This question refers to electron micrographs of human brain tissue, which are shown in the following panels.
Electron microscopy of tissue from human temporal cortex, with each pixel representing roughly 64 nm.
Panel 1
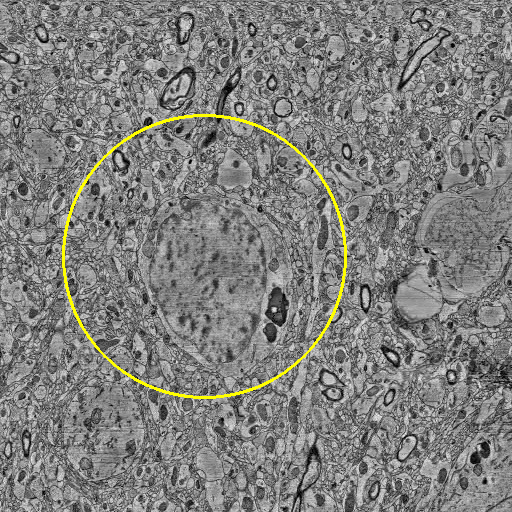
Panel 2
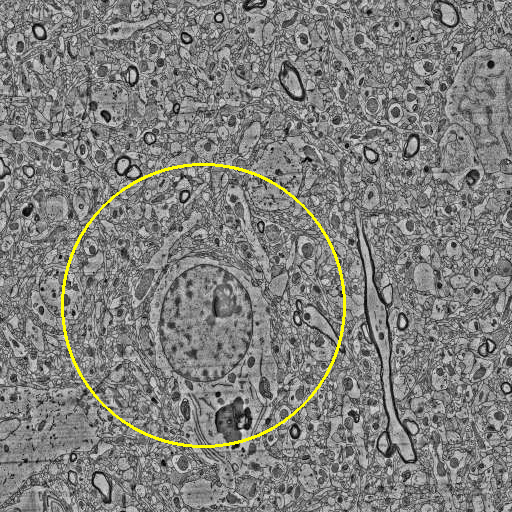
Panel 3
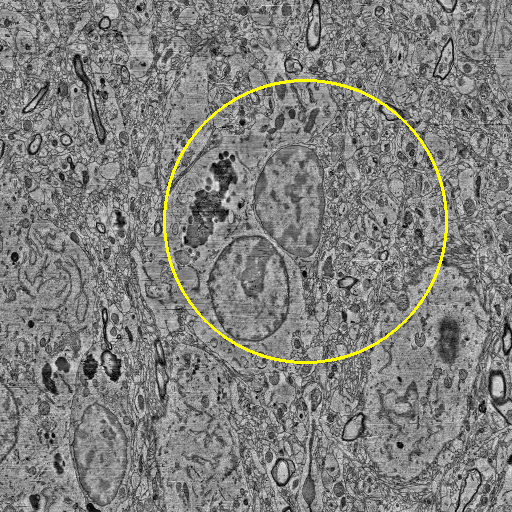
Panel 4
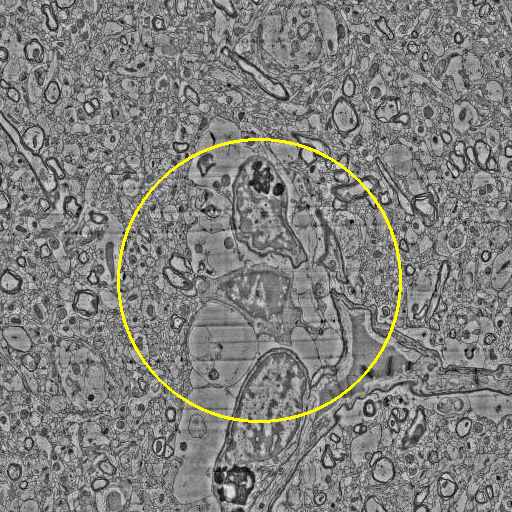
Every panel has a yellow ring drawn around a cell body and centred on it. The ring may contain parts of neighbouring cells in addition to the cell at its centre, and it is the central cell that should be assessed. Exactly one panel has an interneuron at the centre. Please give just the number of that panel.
1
